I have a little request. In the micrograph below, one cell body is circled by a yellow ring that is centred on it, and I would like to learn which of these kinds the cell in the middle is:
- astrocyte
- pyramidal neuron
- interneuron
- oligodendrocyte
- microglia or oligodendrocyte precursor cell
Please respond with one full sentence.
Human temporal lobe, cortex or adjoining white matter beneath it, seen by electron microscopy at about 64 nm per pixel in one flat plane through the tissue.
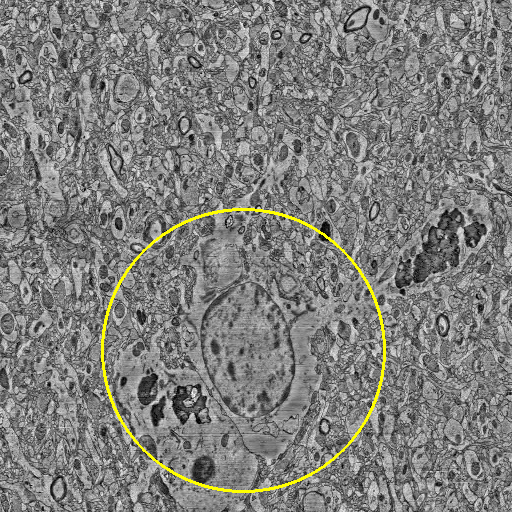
The cell sitting in the middle of the yellow ring in the micrograph is an astrocyte.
